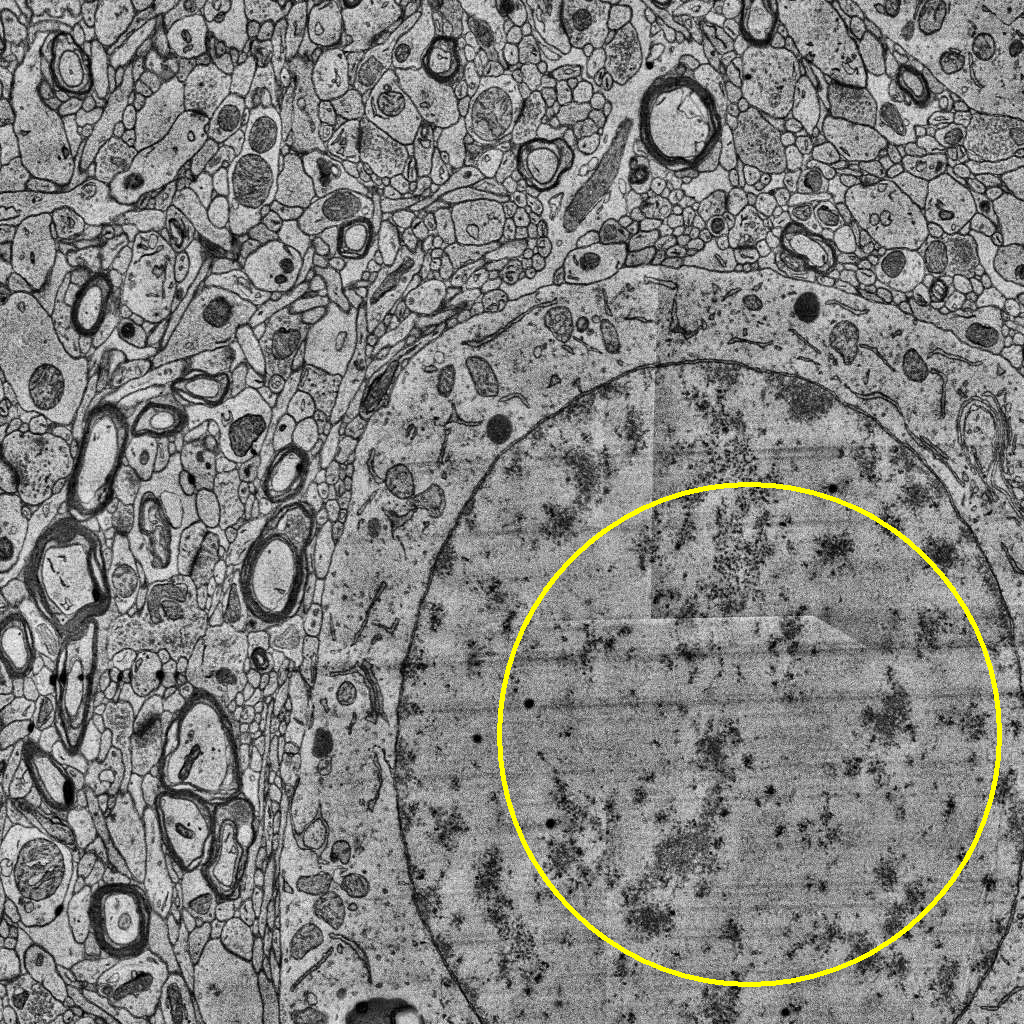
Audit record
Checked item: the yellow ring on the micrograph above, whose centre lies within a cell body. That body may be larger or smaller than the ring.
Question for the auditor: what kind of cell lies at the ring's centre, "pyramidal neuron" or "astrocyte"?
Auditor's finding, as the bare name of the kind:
pyramidal neuron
